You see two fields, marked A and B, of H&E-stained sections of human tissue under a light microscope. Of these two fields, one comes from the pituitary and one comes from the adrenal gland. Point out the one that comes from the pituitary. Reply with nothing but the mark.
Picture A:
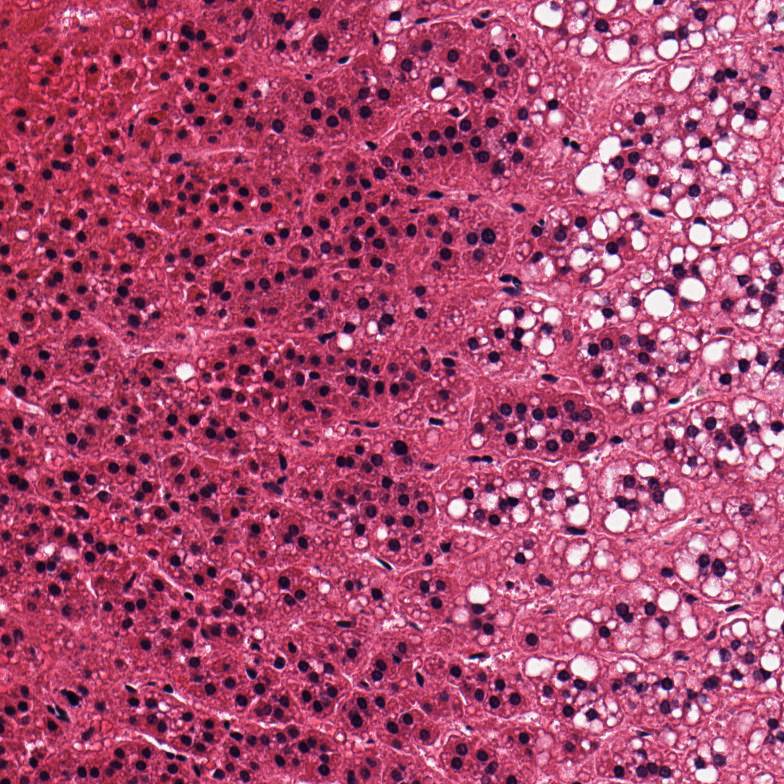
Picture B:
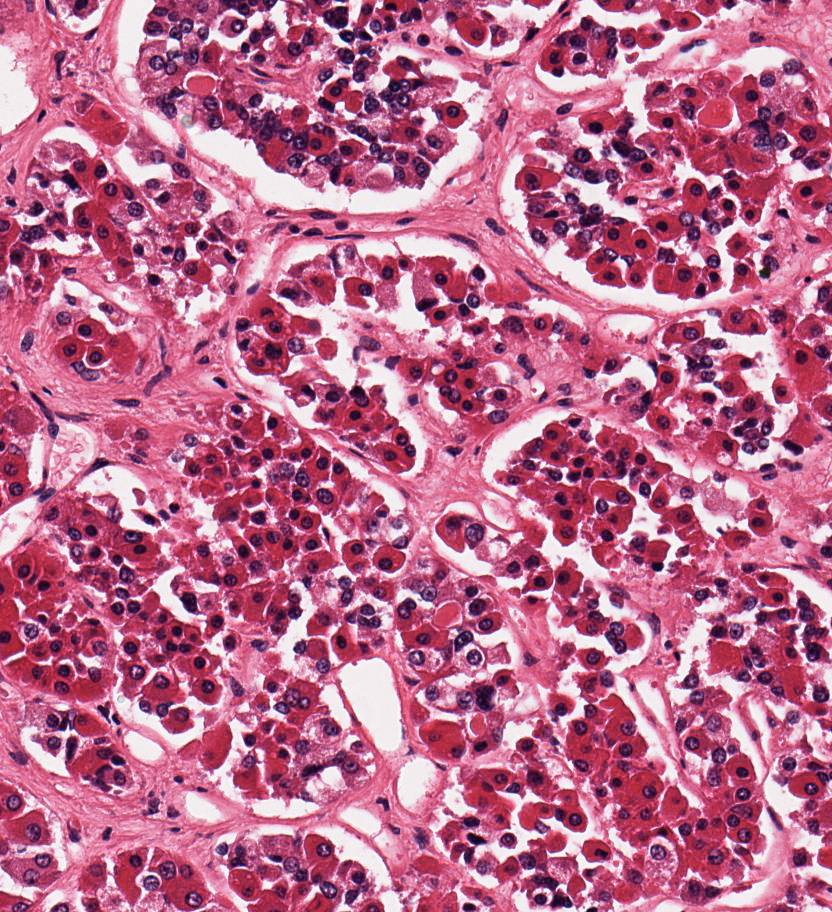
B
